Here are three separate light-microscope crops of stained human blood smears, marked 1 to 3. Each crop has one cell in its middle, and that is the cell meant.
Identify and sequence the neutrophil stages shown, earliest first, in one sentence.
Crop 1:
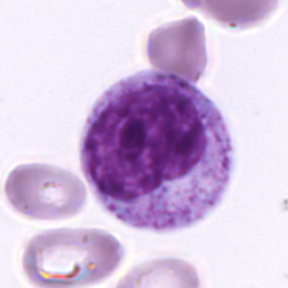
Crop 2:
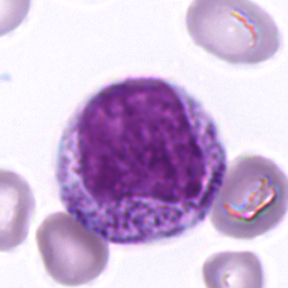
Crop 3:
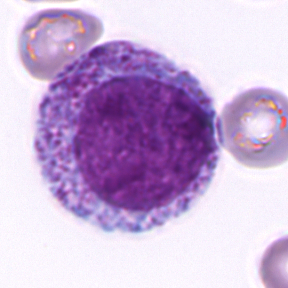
Counting from the least mature up to the most mature, the order is crop 3 (a promyelocyte), crop 2 (a myelocyte) and crop 1 (a metamyelocyte).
